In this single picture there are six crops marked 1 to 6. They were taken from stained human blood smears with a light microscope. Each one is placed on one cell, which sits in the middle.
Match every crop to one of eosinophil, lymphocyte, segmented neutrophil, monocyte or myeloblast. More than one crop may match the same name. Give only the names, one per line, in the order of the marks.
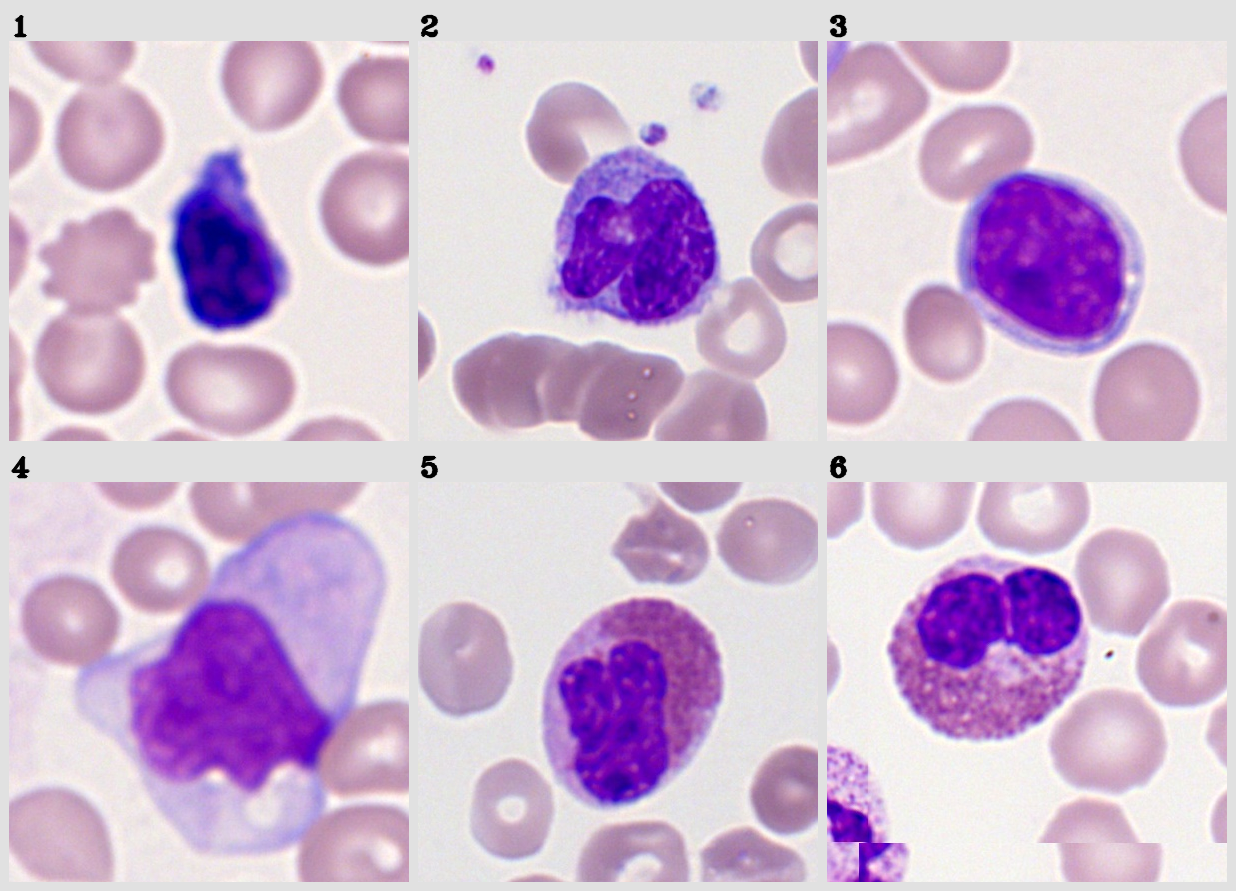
lymphocyte
monocyte
myeloblast
monocyte
eosinophil
eosinophil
